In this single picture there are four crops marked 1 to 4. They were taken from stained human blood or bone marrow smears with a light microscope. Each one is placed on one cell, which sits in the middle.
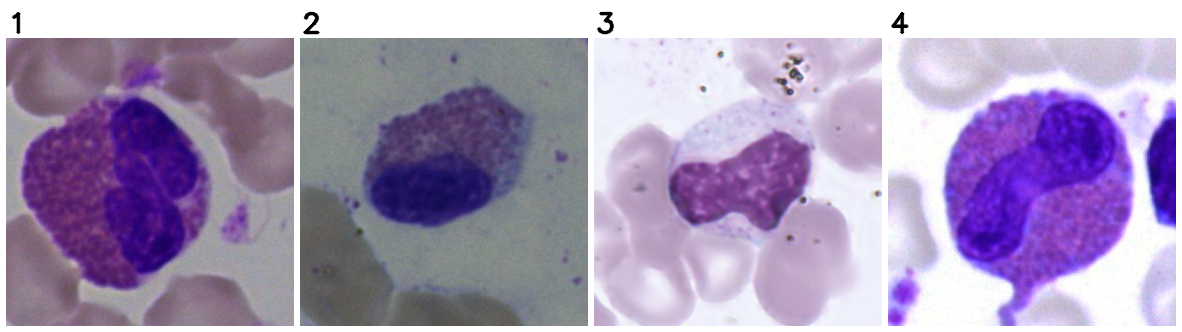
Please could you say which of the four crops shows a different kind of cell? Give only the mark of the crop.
3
